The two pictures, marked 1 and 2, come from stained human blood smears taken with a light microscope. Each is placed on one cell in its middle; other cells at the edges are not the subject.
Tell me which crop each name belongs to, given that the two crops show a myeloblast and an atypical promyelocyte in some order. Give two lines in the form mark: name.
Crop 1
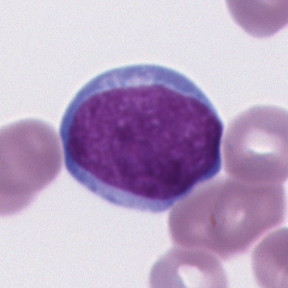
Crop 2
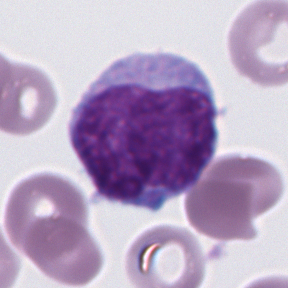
1: myeloblast
2: atypical promyelocyte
